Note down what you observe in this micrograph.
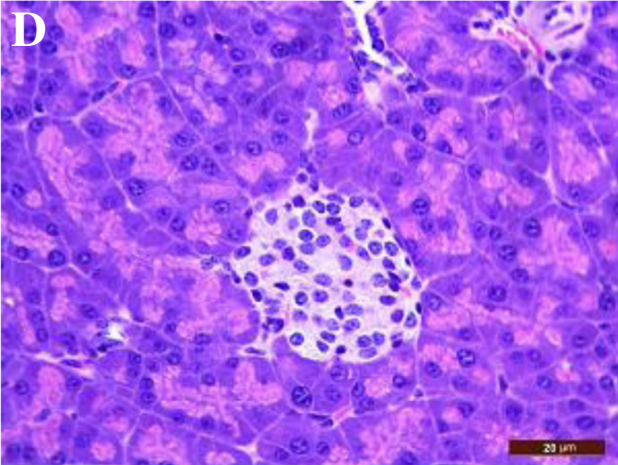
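This section of pancreas shows an islet of Langerhans lying among the exocrine acini. The islet is a rounded, pale-staining cluster of small cells with round, dark blue-purple nuclei and scanty pale cytoplasm. Around it the acinar cells are larger and pyramidal, with round nuclei, purple basal cytoplasm and pink granular zones towards the centre of each acinus. The acini are tightly packed and separated by thin clefts, and a small vessel is seen at the upper right edge.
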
